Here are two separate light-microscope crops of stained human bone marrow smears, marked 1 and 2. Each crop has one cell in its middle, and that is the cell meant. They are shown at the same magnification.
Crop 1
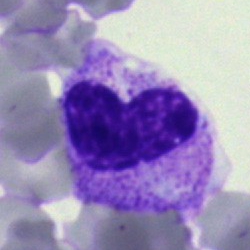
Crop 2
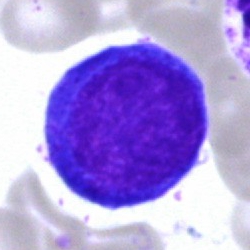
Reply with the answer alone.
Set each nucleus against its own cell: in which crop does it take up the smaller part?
1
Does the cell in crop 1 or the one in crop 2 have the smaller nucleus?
1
